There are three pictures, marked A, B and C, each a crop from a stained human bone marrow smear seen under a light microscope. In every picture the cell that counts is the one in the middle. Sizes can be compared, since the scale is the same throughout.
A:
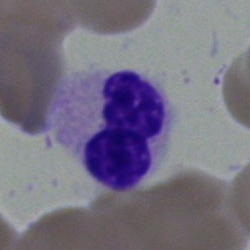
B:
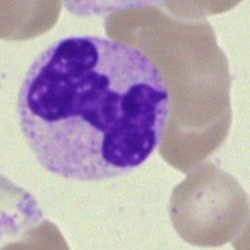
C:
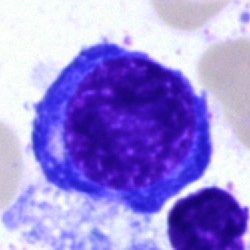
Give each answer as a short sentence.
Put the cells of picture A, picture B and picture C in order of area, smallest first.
Going up, they run A, B, C.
